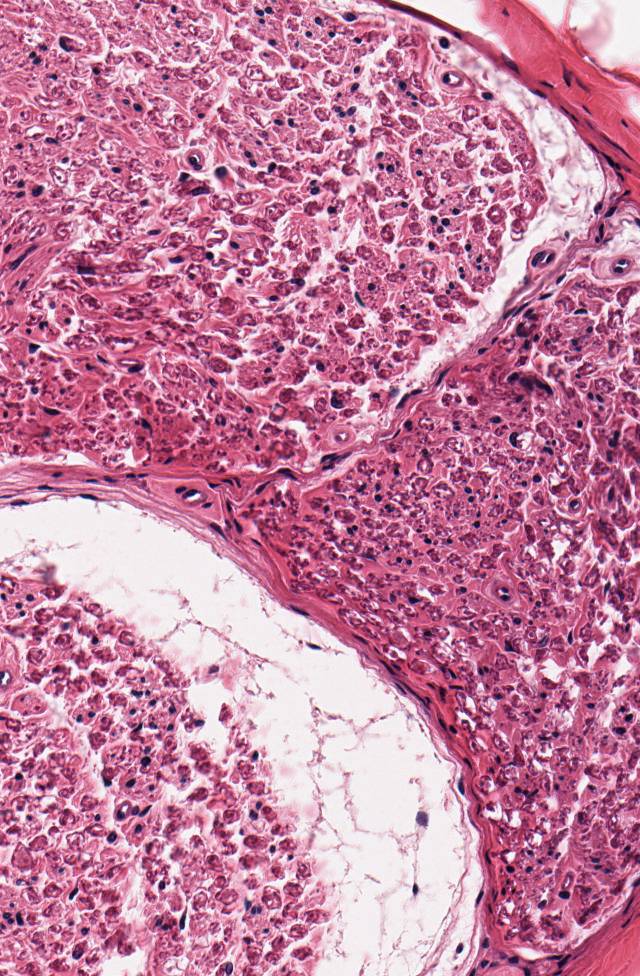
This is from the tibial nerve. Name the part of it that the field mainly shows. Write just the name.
nerve fascicle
